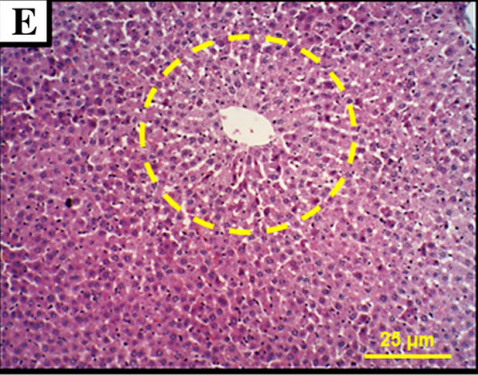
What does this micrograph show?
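This is liver tissue centred on a centrilobular vein, around which cords of hepatocytes radiate outward. The vein appears as a pale, empty, oval lumen. The hepatocytes are polygonal cells with pink-purple cytoplasm and round, dark, centrally placed nuclei, lined up in rows one to two cells thick. Narrow pale channels run between the cords toward the vein, giving a spoke-like pattern.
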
